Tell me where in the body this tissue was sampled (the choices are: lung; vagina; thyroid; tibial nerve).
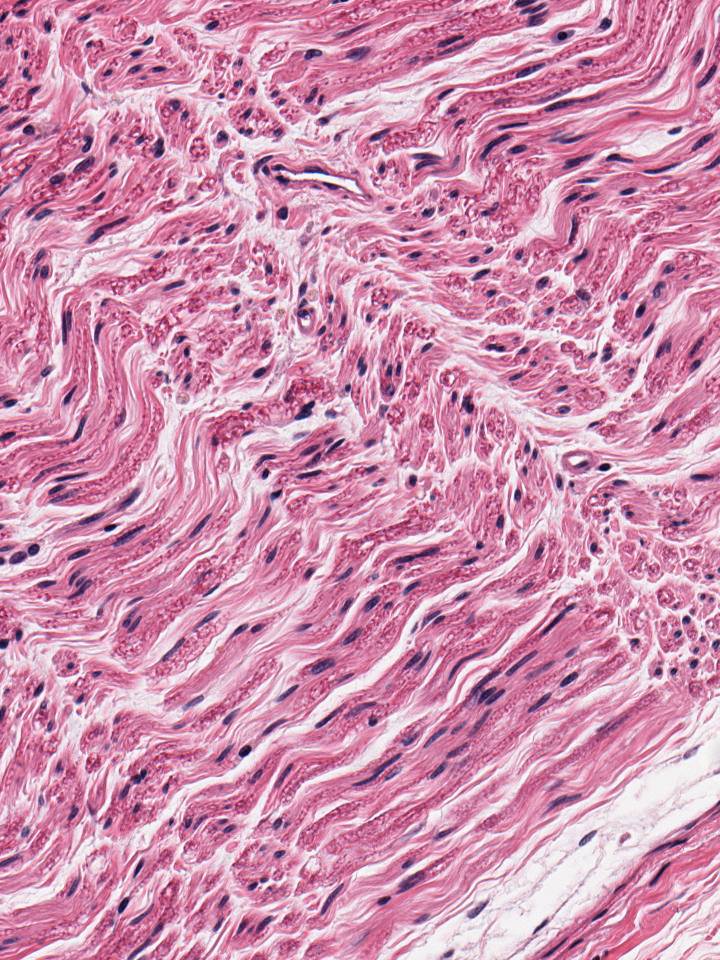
tibial nerve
